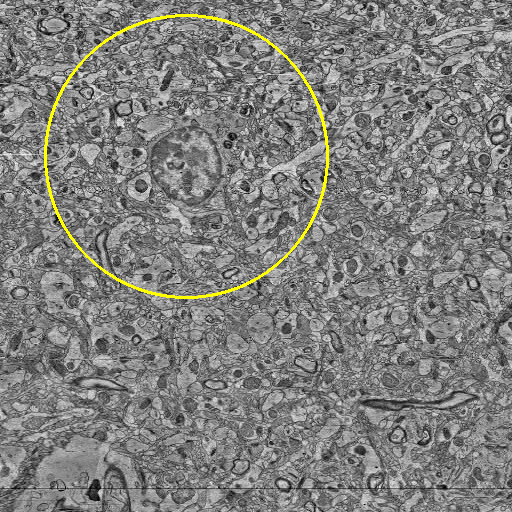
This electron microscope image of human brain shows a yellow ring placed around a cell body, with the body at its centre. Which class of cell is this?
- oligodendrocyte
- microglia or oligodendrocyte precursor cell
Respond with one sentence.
The cell body at the ring's centre is an oligodendrocyte.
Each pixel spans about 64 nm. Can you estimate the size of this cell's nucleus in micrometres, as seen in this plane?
About 5 micrometres across, as seen in this plane.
